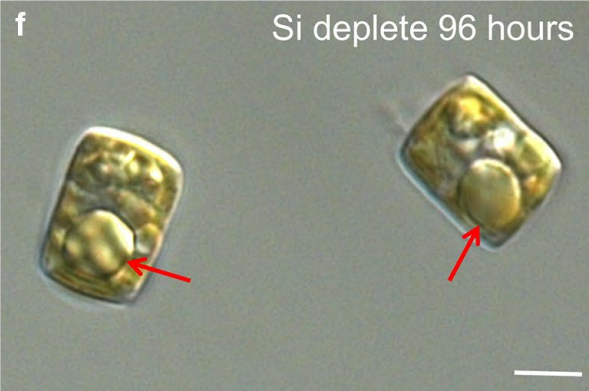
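Two single diatom cells are seen side by side, each boxy and nearly rectangular with slightly rounded corners, bounded by a thin clear wall. The cytoplasm is golden brown and granular, with several small rounded bodies. In each cell a single large, smooth, spherical and refractile lipid droplet lies toward one end and corner, filling a large part of the cell and standing out in relief. The two cells lie apart from each other, not joined in a chain. Faint thin threads project from the corner of the right cell.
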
